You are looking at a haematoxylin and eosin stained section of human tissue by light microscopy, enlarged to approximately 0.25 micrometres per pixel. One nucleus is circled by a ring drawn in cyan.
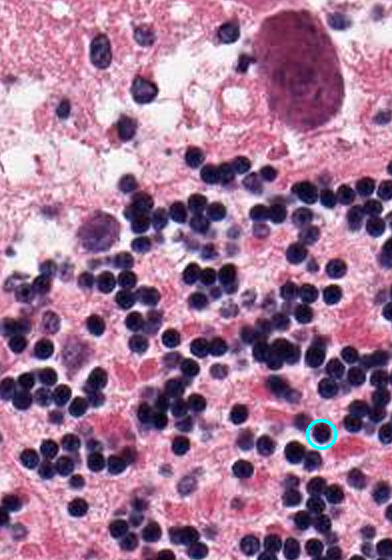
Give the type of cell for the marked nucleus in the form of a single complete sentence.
In this picture it is a cerebellar granule cell whose nucleus is marked.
